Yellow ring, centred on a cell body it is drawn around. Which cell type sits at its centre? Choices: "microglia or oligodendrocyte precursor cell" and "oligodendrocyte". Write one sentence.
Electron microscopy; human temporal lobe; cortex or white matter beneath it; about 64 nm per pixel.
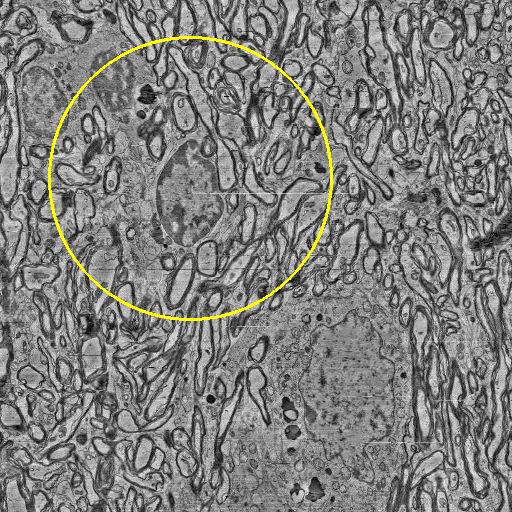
At the centre of the ring sits a microglial cell or oligodendrocyte precursor cell.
